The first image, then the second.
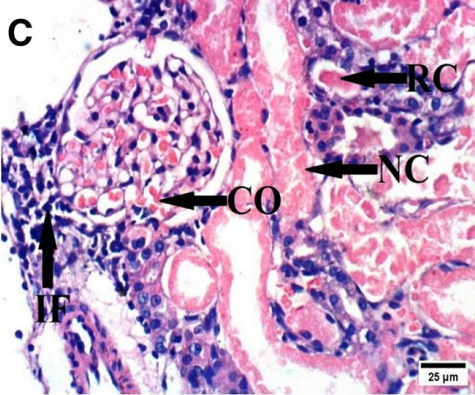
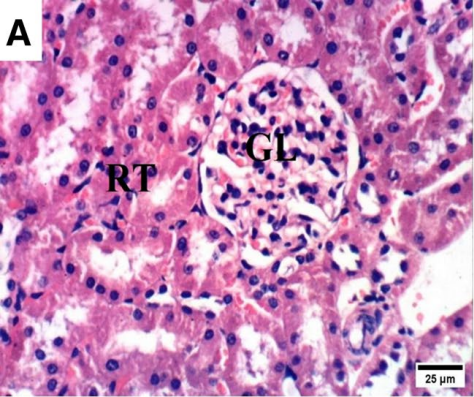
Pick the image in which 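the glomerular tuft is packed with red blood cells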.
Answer: The first image.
